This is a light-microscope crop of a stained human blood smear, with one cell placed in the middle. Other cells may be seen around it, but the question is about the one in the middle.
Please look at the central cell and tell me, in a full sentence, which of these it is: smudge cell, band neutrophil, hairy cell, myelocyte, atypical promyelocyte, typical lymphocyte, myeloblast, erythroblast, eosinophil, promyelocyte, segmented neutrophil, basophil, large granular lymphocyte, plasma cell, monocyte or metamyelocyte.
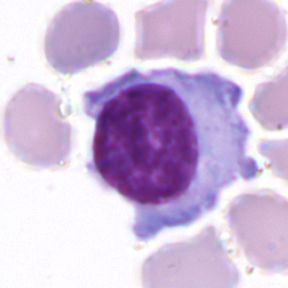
The cell sitting right in the middle is a plasma cell.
